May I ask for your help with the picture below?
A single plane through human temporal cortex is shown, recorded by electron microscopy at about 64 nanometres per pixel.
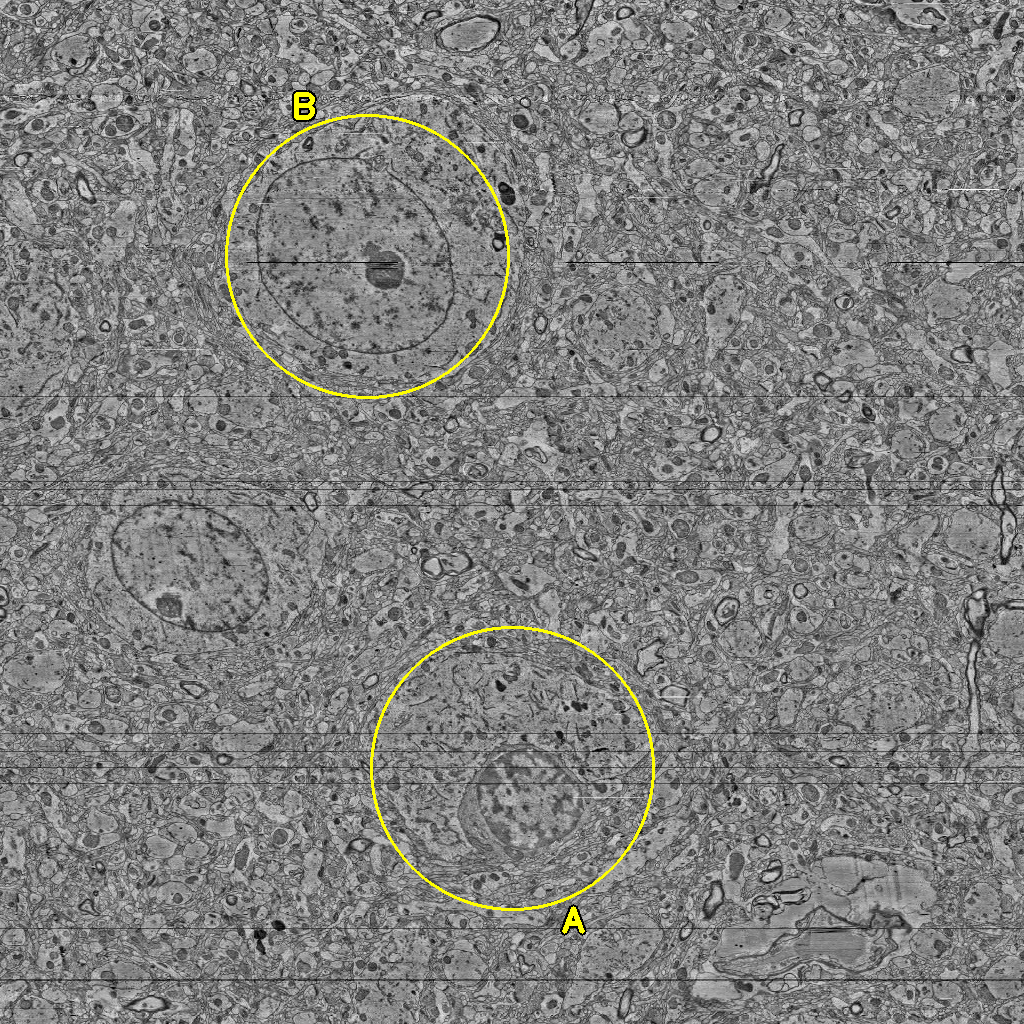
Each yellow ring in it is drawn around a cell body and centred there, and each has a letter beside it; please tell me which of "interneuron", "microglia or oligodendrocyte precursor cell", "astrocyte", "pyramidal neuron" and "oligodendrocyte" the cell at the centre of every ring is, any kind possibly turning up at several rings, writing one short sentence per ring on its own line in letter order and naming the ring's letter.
Ring A is drawn around the cell body of an oligodendrocyte.
Ring B is drawn around the cell body of a pyramidal neuron.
